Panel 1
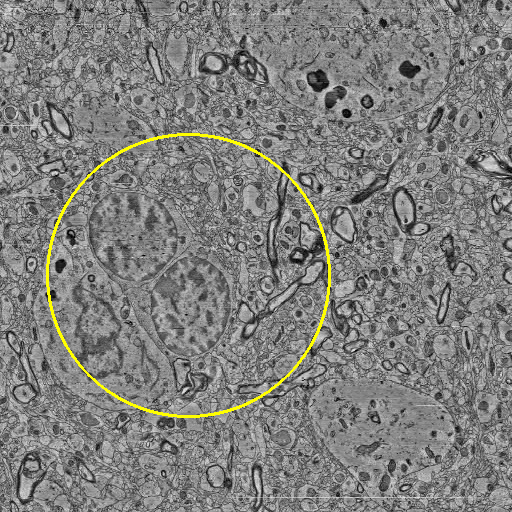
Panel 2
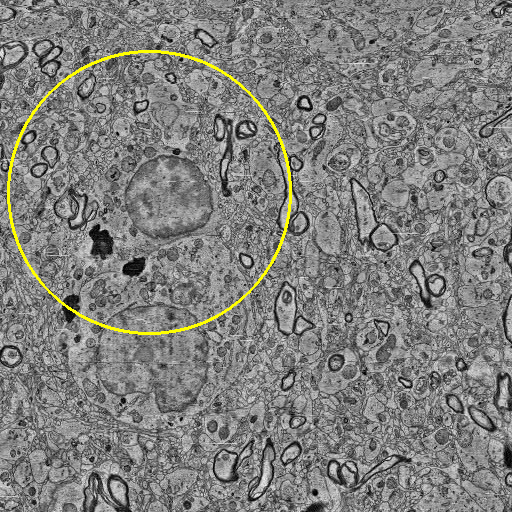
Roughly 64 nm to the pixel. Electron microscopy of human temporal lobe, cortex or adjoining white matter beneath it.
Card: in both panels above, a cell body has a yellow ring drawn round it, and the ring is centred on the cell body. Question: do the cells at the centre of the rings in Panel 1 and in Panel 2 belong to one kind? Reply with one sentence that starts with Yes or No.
Yes, the cells centred in the rings of Panel 1 and Panel 2 are one kind of cell.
